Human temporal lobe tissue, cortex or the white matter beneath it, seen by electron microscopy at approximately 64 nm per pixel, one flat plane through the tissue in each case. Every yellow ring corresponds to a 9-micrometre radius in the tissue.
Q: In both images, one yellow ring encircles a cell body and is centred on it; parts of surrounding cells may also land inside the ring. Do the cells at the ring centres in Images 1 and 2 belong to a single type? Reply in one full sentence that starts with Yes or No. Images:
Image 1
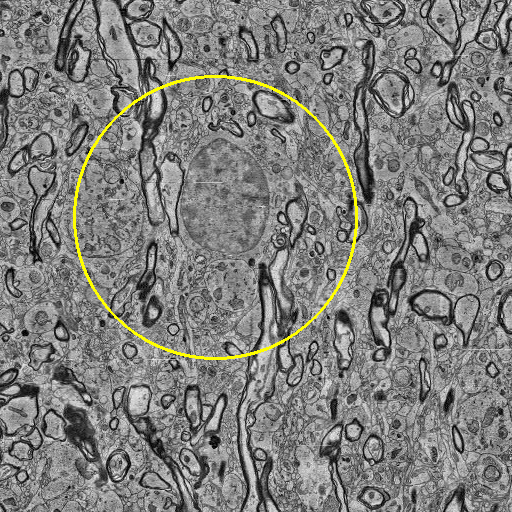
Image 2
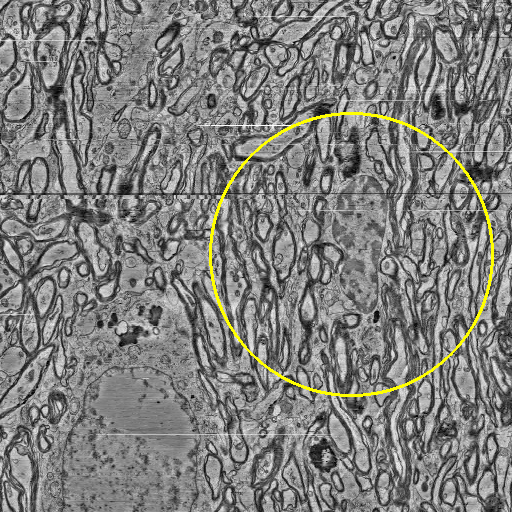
No, the cells at the ring centres in Images 1 and 2 are of two types.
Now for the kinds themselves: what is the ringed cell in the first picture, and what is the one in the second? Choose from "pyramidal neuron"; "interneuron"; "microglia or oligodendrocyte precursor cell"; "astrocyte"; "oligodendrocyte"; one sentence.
Here the first cell is an oligodendrocyte and the second cell is a microglial cell or oligodendrocyte precursor cell.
